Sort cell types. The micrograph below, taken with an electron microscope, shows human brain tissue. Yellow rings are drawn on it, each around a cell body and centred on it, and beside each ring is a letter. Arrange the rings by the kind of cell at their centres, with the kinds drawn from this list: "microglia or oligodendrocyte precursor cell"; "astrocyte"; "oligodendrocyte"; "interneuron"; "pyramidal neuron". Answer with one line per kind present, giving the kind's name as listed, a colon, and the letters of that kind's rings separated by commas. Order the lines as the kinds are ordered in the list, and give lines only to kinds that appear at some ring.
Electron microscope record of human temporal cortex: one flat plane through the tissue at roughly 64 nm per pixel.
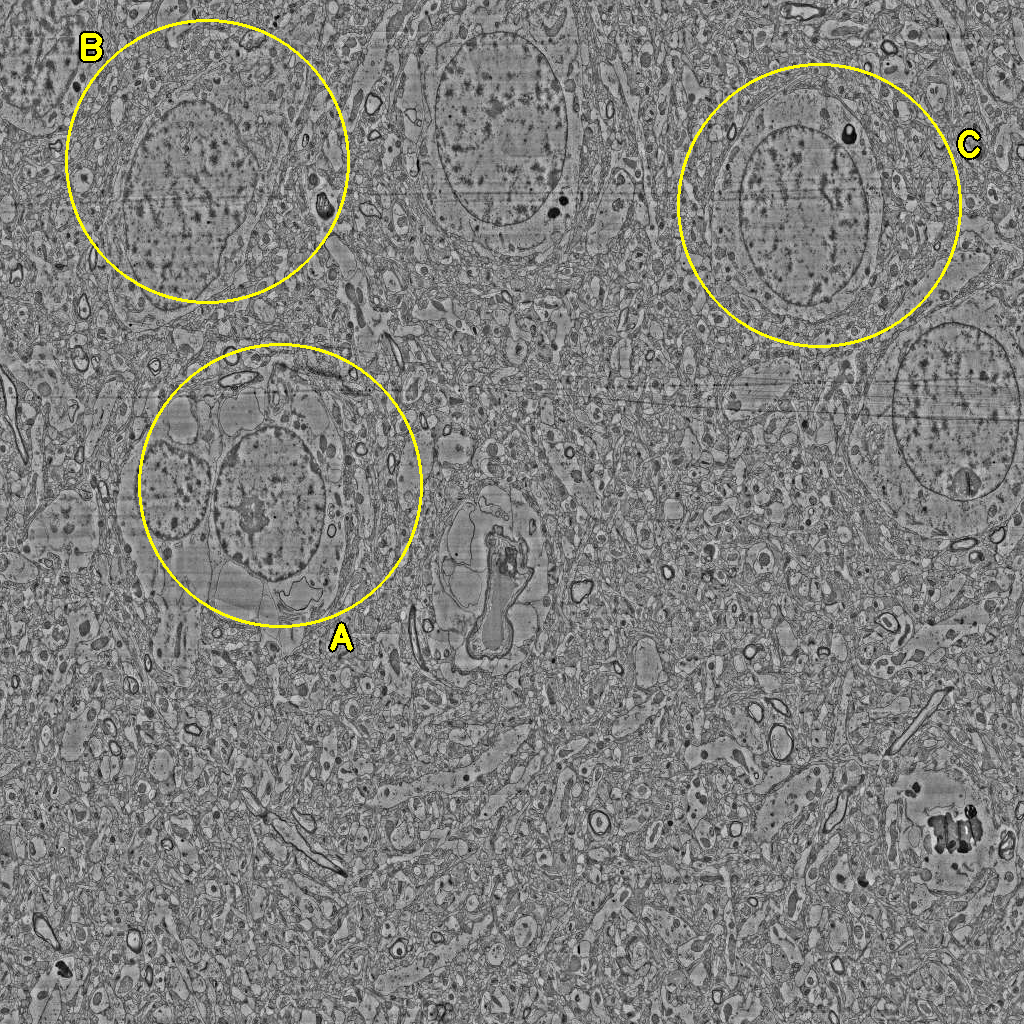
astrocyte: A
interneuron: B
pyramidal neuron: C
